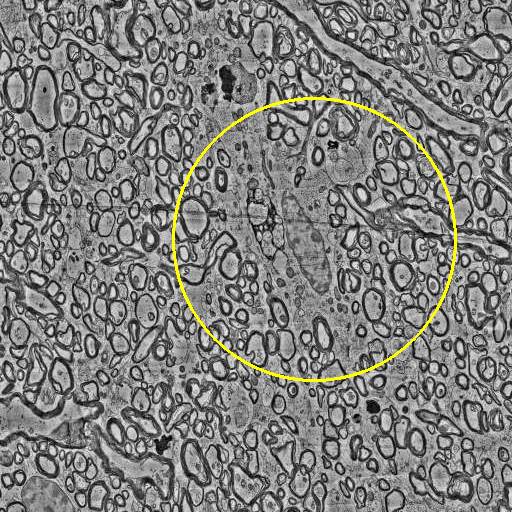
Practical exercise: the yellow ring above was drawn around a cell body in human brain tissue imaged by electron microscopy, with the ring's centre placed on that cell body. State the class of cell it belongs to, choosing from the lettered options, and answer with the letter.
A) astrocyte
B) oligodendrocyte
A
